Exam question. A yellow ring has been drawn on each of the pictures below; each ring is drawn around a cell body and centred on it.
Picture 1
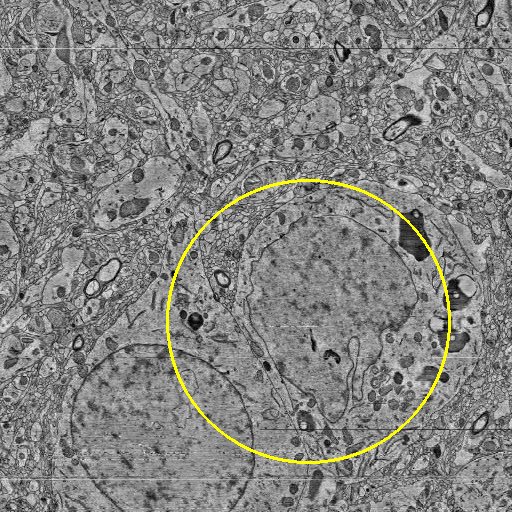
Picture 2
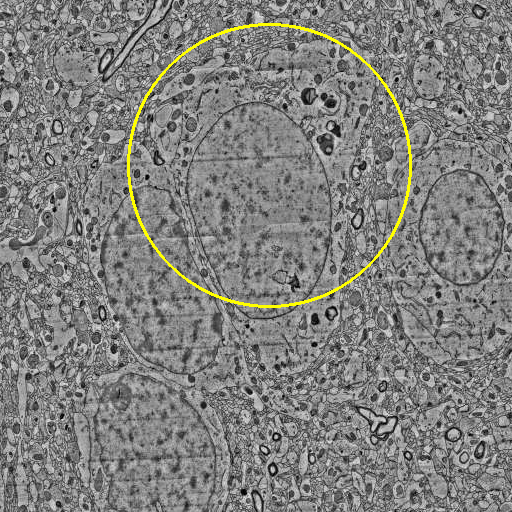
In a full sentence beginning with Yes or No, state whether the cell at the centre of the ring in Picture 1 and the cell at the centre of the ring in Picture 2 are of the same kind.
No, the cells are of two kinds.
